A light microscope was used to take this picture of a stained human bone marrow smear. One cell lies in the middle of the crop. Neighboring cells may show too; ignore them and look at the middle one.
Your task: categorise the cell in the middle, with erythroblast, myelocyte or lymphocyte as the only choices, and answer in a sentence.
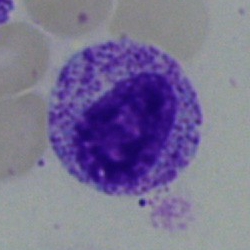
The single cell at the center of the crop is a myelocyte.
